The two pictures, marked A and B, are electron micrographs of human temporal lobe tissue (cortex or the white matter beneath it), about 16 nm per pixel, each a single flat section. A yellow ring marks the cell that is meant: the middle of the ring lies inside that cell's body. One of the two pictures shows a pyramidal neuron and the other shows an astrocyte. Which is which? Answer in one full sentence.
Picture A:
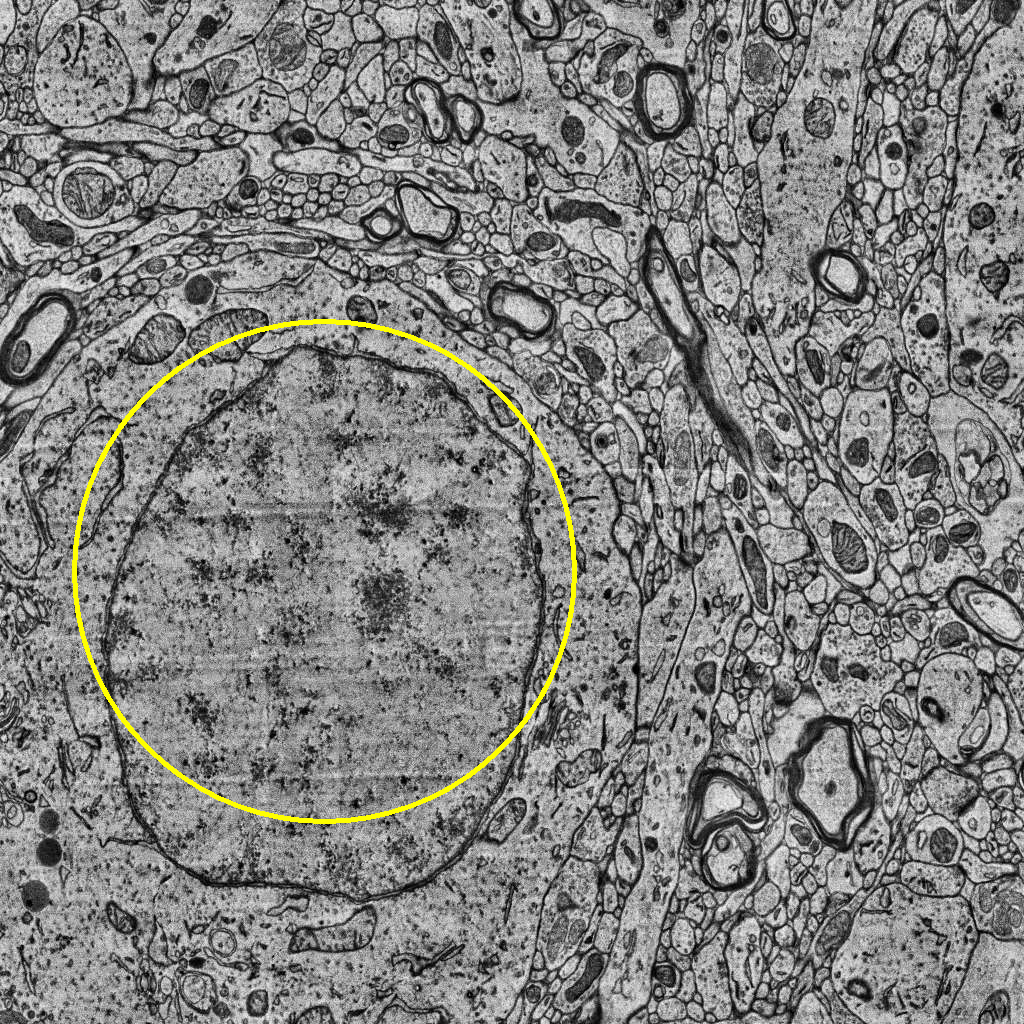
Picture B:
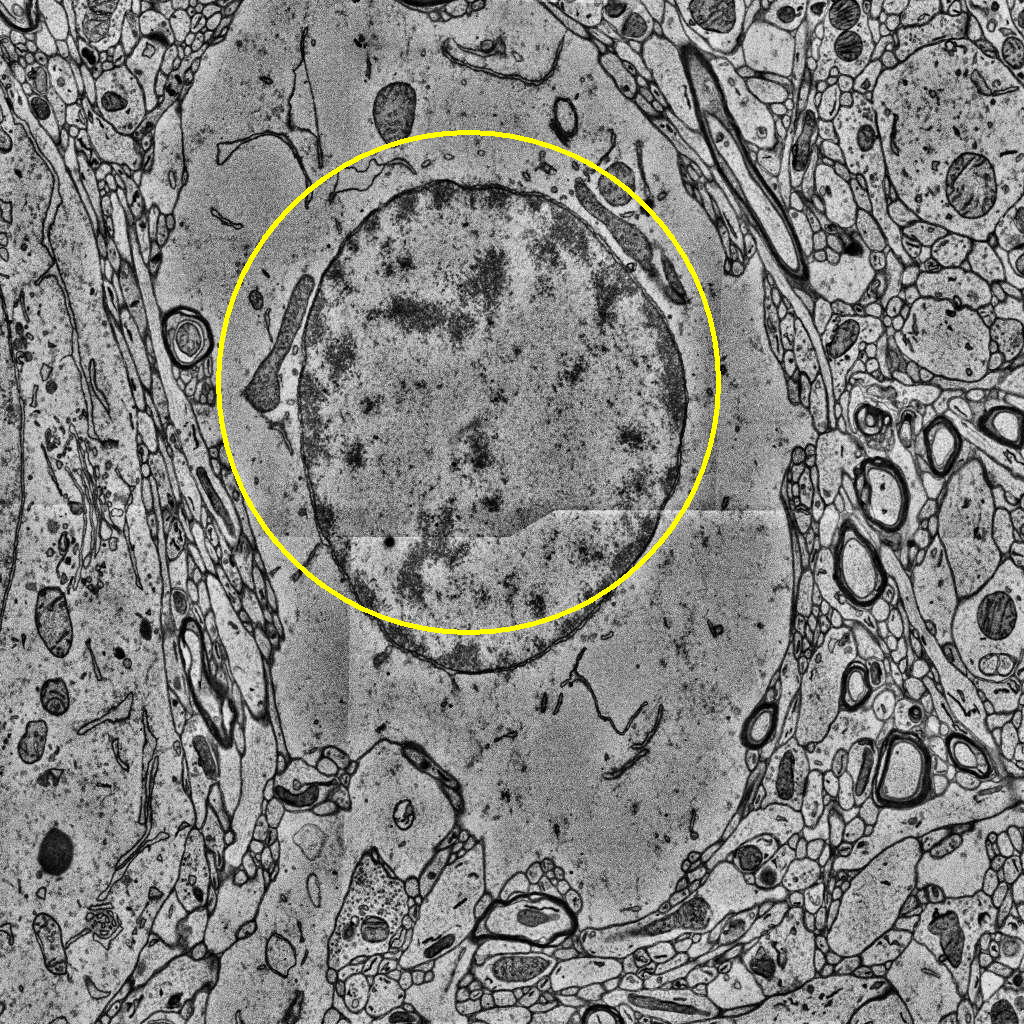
Picture B shows an astrocyte, while picture A shows a pyramidal neuron.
